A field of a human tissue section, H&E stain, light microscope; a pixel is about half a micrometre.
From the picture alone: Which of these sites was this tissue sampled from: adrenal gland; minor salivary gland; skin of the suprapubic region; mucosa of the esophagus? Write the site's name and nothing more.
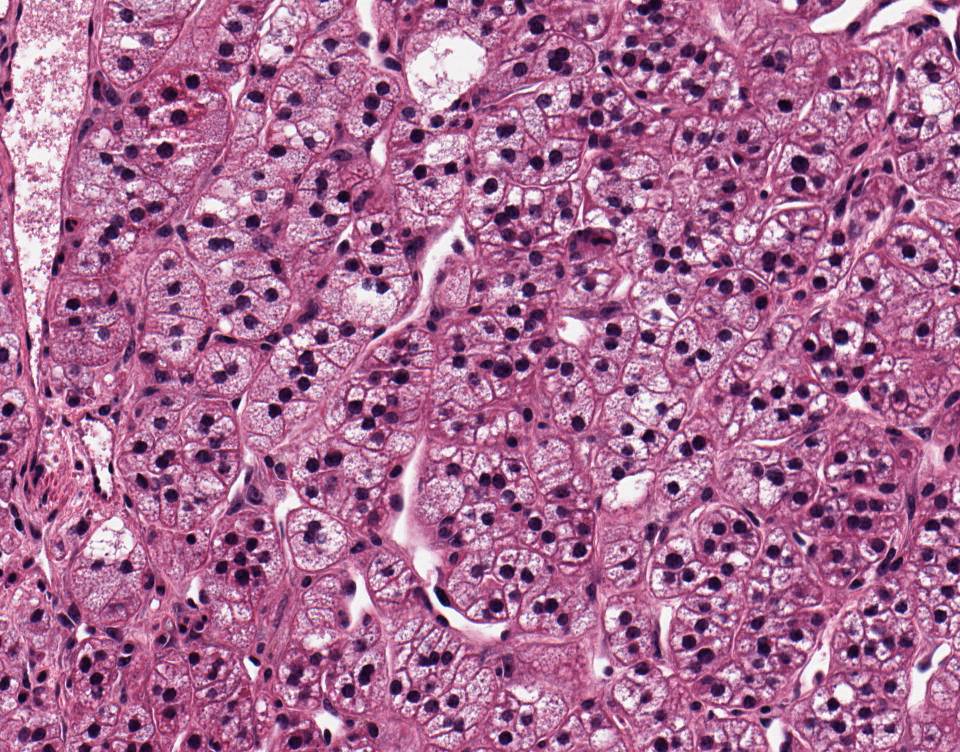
adrenal gland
